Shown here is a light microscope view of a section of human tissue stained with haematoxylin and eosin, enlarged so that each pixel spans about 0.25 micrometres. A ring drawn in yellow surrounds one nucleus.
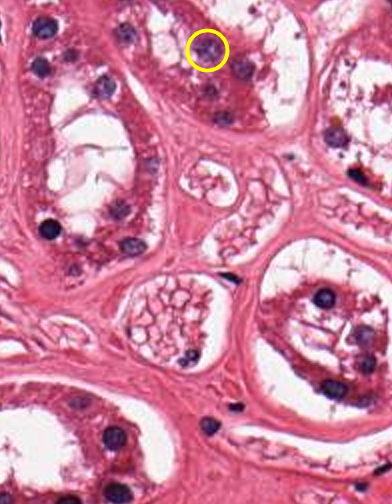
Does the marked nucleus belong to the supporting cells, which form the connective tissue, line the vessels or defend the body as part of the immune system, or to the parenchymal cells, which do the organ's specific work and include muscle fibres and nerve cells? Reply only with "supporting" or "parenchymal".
parenchymal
